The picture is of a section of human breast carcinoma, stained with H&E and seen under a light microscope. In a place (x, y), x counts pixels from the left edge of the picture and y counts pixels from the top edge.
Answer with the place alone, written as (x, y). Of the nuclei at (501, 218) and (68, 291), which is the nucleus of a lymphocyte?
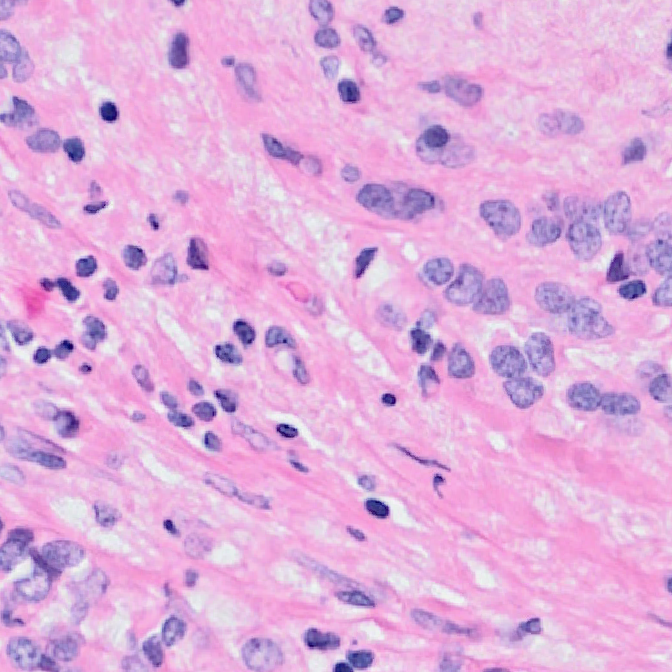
(68, 291)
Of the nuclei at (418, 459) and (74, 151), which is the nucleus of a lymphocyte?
(74, 151)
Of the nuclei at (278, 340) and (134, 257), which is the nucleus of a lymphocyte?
(134, 257)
